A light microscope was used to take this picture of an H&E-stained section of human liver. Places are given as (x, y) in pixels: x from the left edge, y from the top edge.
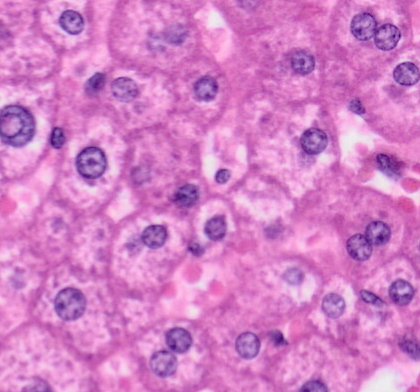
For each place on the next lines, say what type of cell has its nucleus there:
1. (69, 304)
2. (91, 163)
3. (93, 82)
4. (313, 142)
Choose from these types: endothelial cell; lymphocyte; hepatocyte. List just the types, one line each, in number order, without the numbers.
hepatocyte
hepatocyte
endothelial cell
hepatocyte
